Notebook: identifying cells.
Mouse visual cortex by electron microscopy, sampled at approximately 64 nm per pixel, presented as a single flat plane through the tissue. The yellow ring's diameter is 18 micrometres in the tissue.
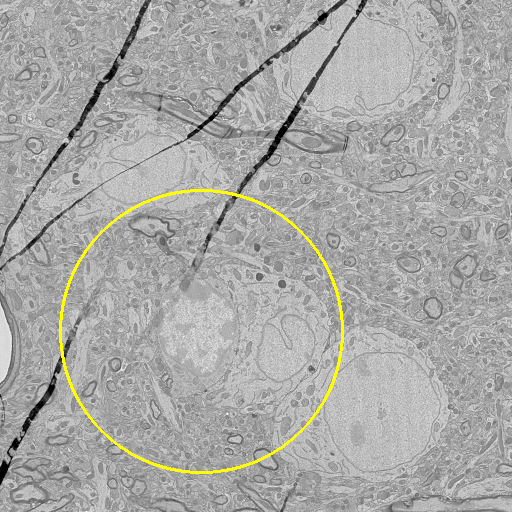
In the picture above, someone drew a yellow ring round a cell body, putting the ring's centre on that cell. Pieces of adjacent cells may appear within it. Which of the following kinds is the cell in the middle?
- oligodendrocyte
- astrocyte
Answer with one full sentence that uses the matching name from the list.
In this picture, the yellow ring is centred on the body of an oligodendrocyte.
